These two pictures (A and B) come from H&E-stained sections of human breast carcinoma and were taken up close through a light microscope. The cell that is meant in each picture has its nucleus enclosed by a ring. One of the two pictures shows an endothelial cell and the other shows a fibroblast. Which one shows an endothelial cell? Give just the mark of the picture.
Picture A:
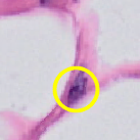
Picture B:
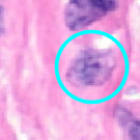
A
